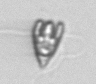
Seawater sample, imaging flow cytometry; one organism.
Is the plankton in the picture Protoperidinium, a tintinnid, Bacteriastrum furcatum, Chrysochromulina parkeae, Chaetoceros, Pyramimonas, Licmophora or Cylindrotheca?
It is Pyramimonas.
